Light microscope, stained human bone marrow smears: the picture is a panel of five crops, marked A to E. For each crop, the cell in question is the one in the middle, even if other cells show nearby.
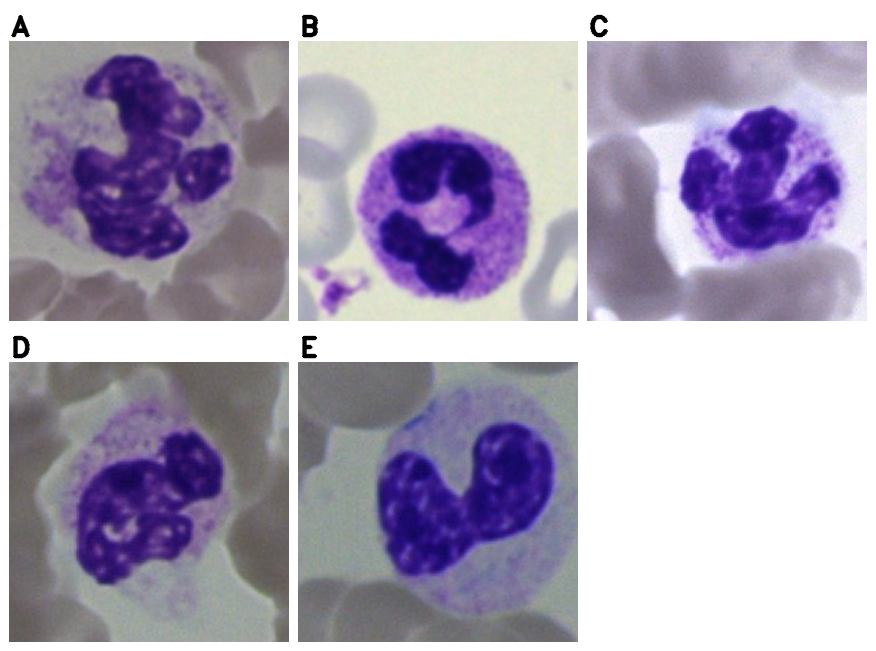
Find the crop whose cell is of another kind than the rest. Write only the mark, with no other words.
E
